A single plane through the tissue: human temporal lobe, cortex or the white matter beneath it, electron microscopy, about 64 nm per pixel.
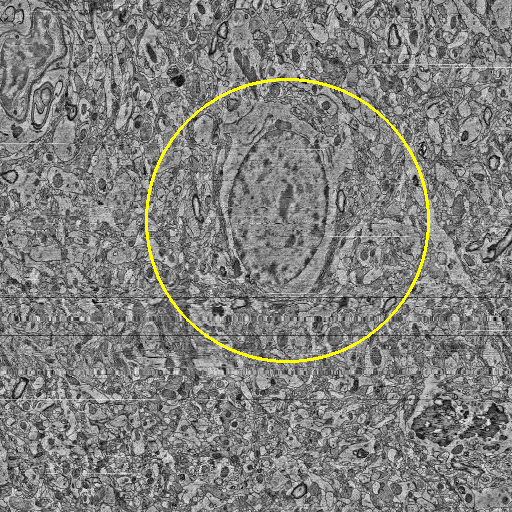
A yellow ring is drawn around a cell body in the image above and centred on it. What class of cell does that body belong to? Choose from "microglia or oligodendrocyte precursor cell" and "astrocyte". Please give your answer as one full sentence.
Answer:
The yellow ring above is centred on the cell body of an astrocyte.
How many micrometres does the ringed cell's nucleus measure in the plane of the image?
About 10 by 6 micrometers in this plane, so the nucleus is clearly longer than it is wide.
